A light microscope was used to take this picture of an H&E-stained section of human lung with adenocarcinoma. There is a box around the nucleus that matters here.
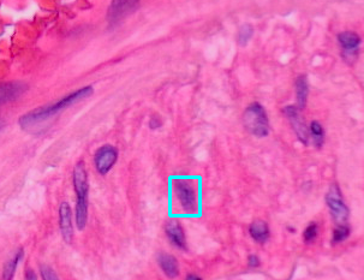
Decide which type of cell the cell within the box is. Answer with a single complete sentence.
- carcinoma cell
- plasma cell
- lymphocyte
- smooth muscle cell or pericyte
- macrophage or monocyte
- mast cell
In this preparation, the cell within the box is a smooth muscle cell or pericyte.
